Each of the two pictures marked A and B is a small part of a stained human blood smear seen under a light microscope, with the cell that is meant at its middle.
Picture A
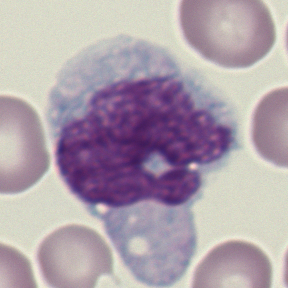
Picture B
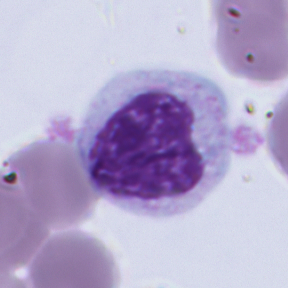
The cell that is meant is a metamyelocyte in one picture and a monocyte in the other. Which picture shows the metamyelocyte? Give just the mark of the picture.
B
